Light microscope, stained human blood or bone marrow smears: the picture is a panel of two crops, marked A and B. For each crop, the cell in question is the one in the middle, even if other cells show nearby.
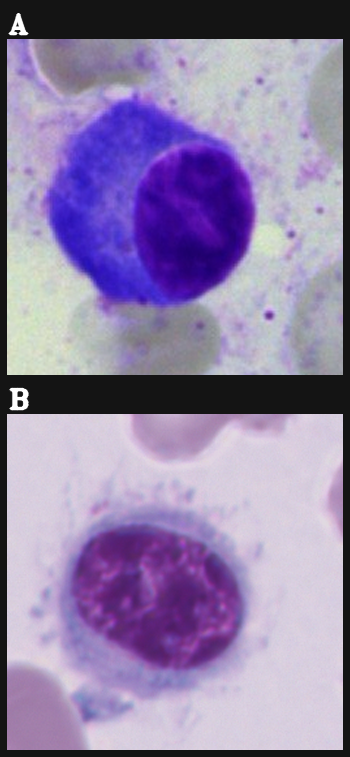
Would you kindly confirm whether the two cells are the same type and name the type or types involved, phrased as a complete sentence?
Yes, both crops show a cell each, and these are plasma cells.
